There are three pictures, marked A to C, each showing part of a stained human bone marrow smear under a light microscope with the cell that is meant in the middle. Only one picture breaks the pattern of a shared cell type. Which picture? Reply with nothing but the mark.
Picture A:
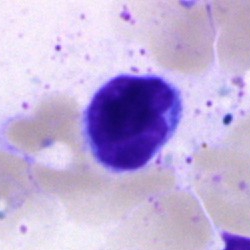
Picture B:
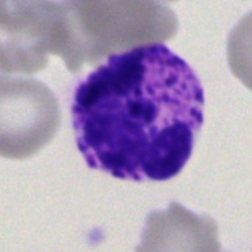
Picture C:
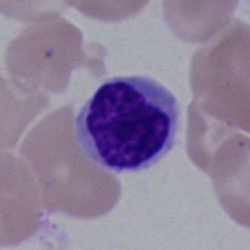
B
